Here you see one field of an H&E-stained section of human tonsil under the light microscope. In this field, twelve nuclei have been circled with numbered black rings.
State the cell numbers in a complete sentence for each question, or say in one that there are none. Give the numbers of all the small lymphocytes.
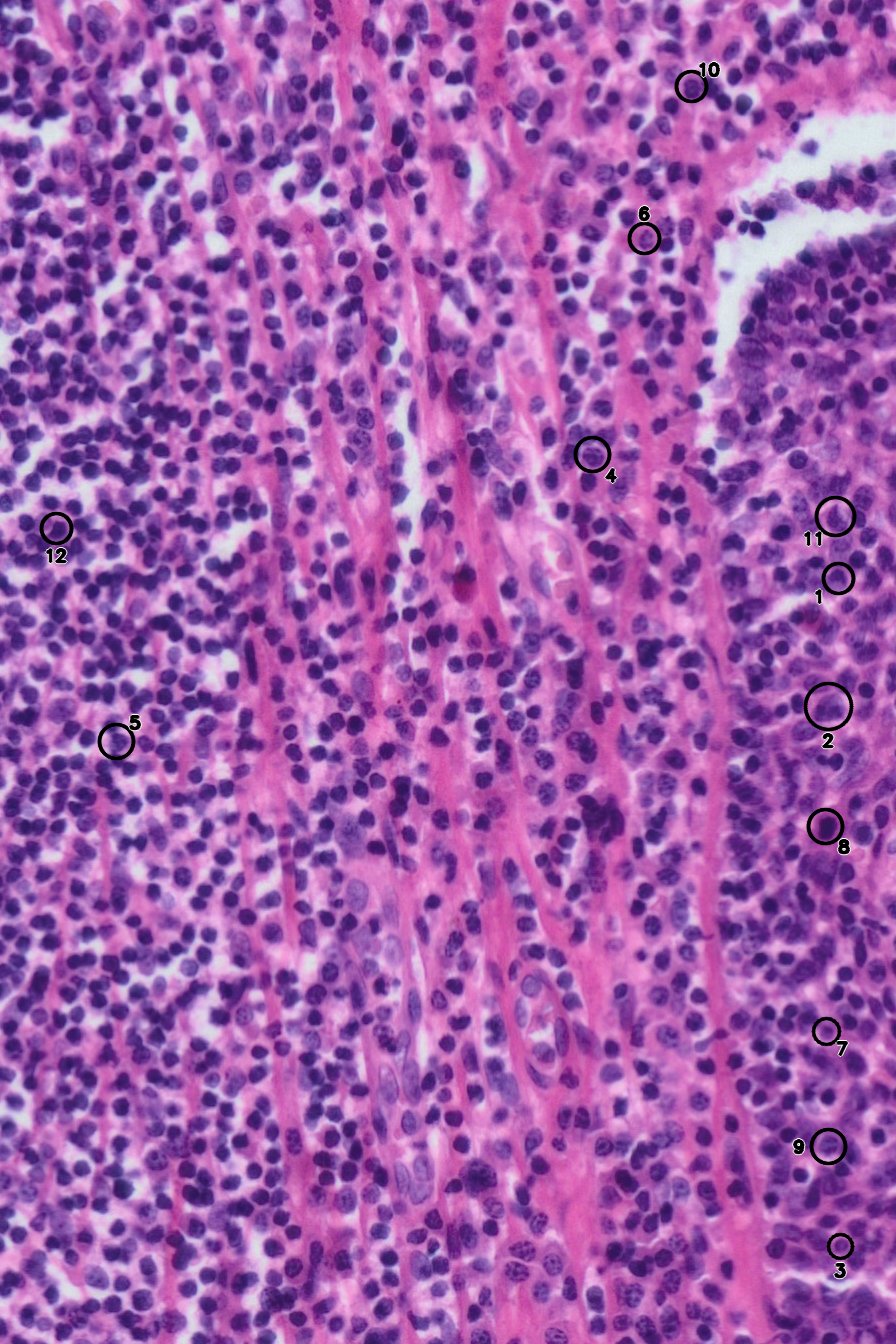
The cells with the numbers 5 and 12 are small lymphocytes.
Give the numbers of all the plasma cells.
The cells referred to by the numbers 4, 6 and 10 are plasma cells.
